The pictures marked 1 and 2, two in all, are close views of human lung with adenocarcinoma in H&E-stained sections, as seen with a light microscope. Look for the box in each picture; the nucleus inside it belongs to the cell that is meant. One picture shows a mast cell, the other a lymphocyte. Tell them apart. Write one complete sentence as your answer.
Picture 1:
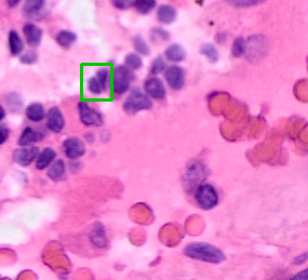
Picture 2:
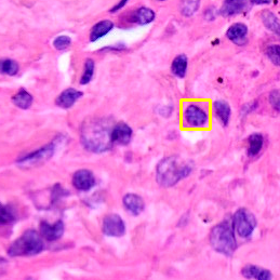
Picture 1 is of a lymphocyte, and picture 2 is of a mast cell.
